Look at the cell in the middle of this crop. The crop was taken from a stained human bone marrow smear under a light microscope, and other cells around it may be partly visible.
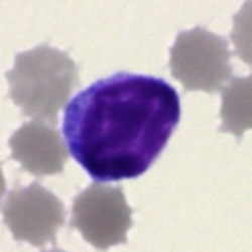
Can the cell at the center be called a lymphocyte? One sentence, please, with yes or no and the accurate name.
Yes, the cell in the middle is rightly called a lymphocyte.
